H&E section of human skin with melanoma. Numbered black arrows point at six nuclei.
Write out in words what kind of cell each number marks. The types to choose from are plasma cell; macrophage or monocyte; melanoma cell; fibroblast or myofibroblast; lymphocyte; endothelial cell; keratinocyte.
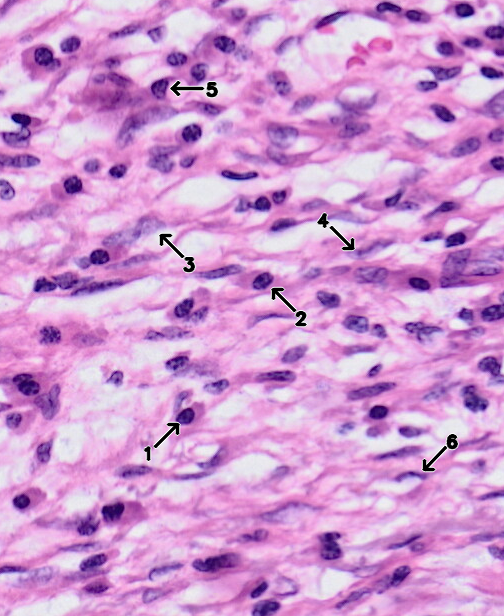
Cell 1 is a plasma cell, cell 2 is a plasma cell, cell 3 is a fibroblast or myofibroblast, cell 4 is a fibroblast or myofibroblast, cell 5 is a plasma cell and cell 6 is a fibroblast or myofibroblast.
